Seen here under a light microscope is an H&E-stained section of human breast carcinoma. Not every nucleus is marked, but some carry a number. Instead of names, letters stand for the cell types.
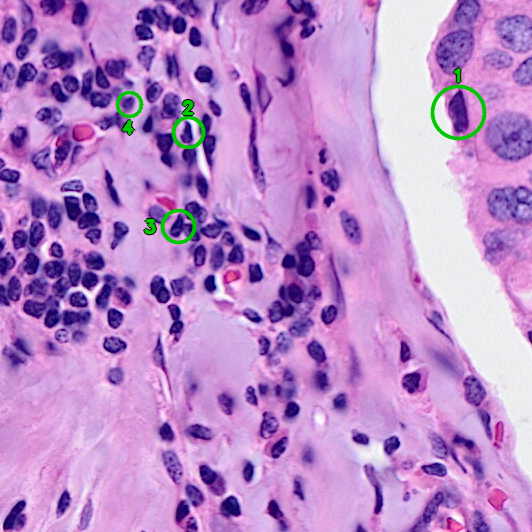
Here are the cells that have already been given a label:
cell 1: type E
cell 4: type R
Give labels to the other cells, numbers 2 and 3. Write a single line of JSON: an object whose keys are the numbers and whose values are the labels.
{"2": "type R", "3": "type R"}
